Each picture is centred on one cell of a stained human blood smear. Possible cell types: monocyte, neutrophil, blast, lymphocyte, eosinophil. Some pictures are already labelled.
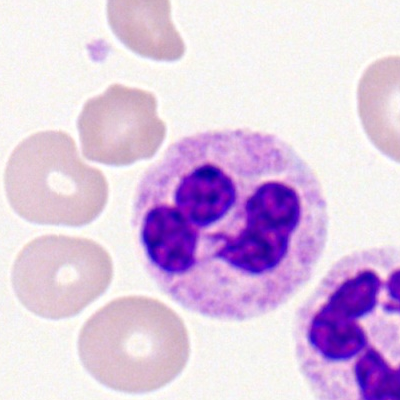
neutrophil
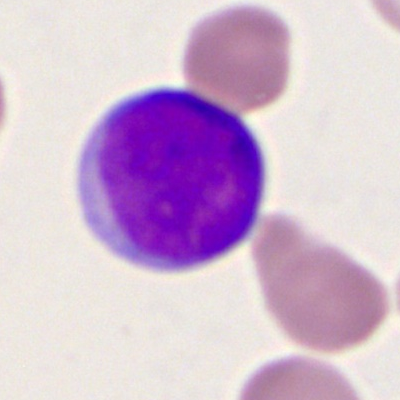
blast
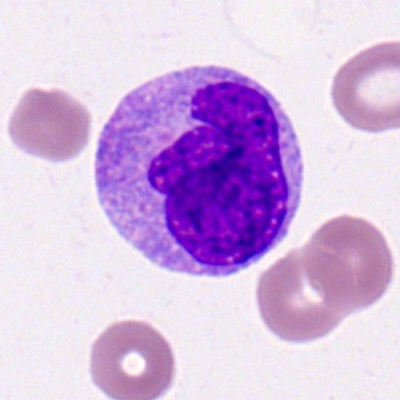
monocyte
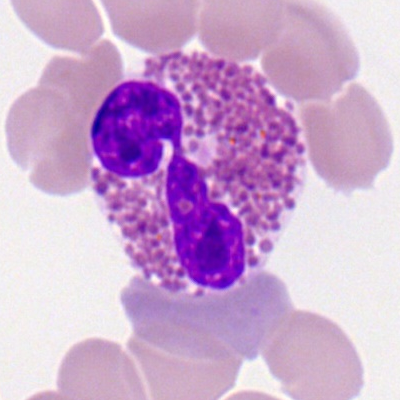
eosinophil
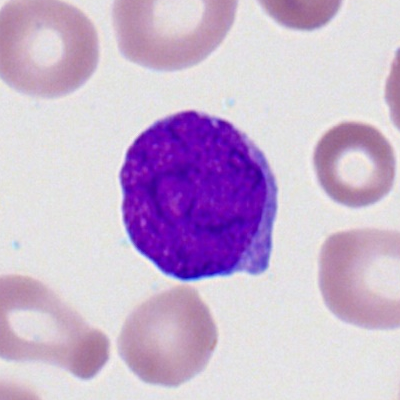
blast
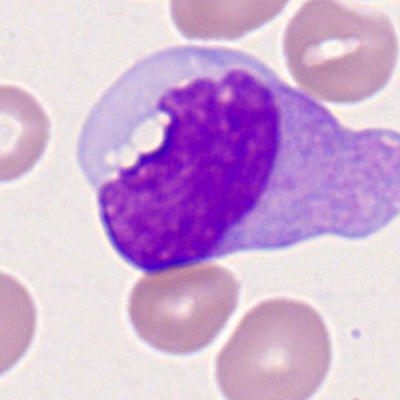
monocyte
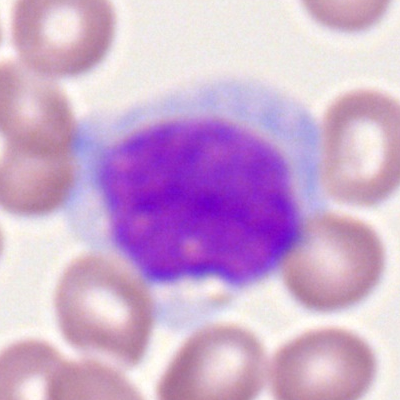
monocyte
